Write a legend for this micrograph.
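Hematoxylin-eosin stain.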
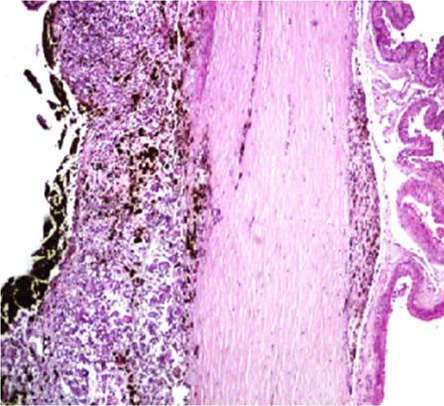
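At low power, a dense purple cellular tumour with scattered dark brown pigment occupies the left side. It borders a broad, pale pink band of compact parallel fibres that resembles sclera. Streaks of pigmented cells extend along and into the edges of this band. On the far right, a thin layer of cells with scattered pigment lies beneath a folded epithelium forming finger-like projections, in keeping with the base of the ciliary body. A clump of heavy black pigment sits at the far left edge.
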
